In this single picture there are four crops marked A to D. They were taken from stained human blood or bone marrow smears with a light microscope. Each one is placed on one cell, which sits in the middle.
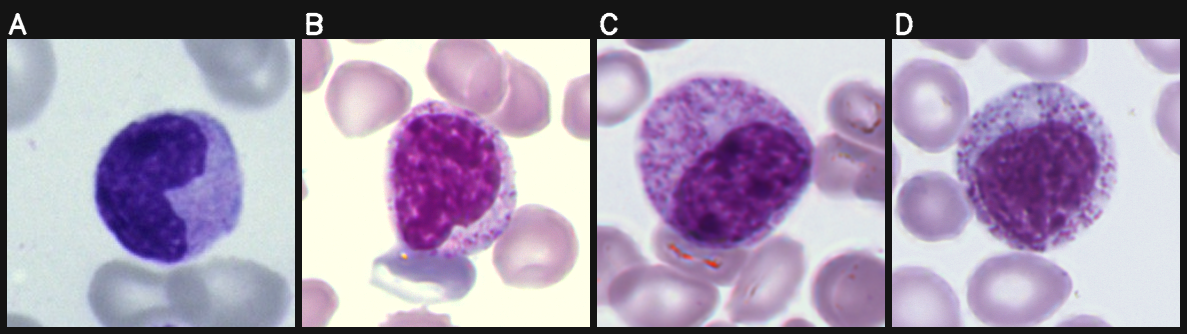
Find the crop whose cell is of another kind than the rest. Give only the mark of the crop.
D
